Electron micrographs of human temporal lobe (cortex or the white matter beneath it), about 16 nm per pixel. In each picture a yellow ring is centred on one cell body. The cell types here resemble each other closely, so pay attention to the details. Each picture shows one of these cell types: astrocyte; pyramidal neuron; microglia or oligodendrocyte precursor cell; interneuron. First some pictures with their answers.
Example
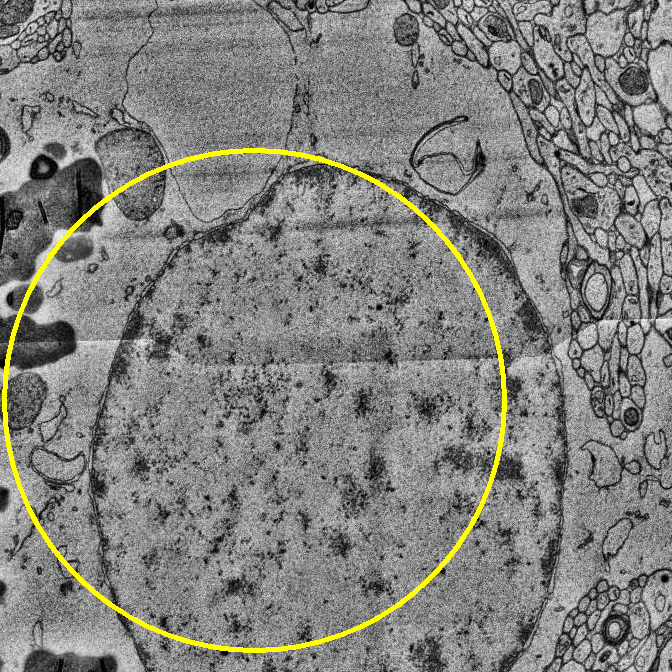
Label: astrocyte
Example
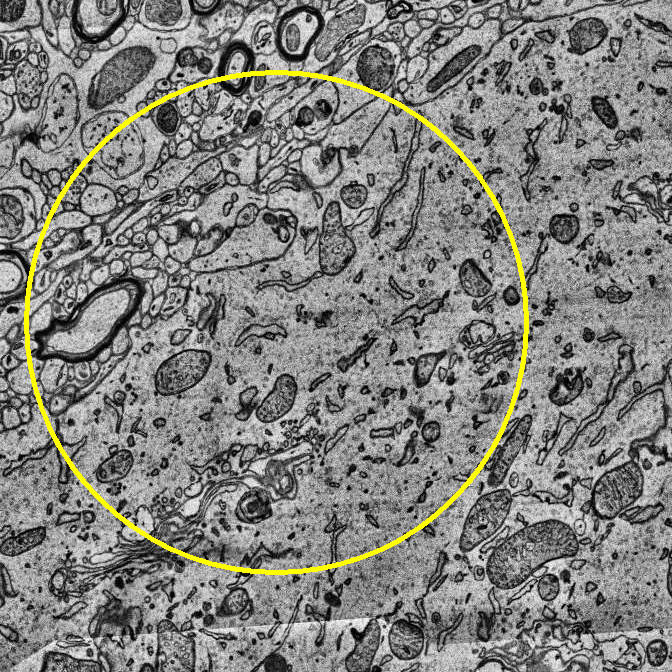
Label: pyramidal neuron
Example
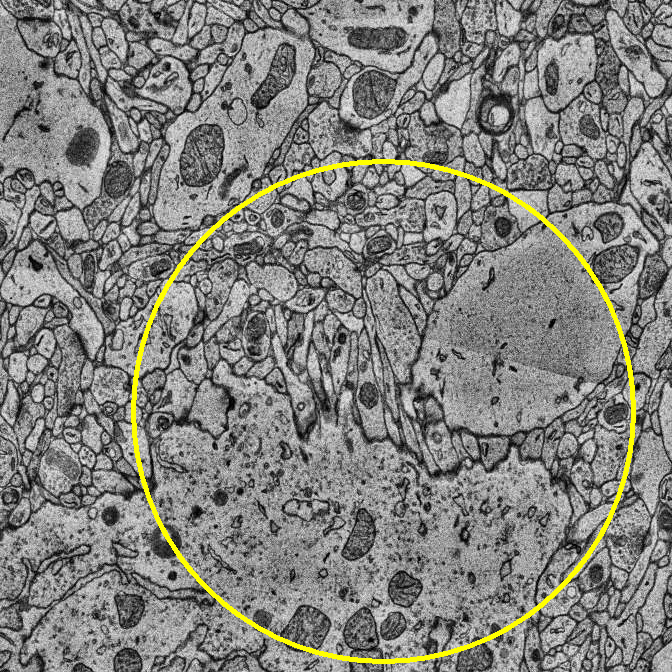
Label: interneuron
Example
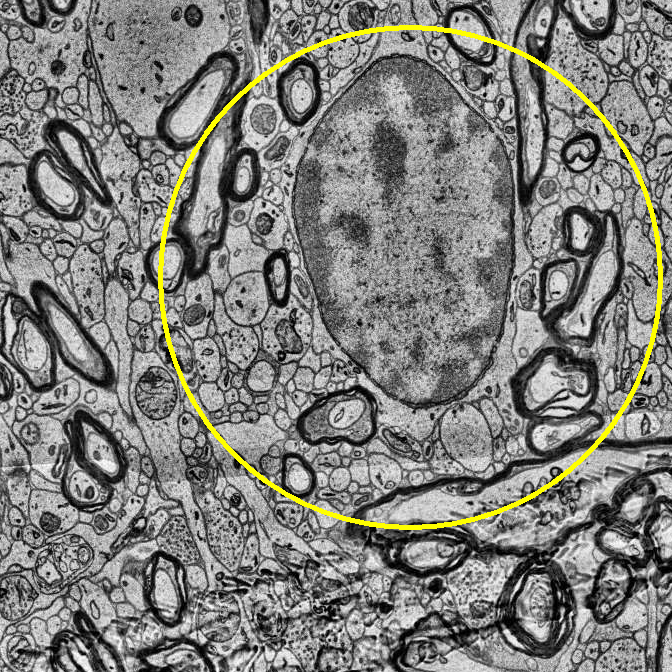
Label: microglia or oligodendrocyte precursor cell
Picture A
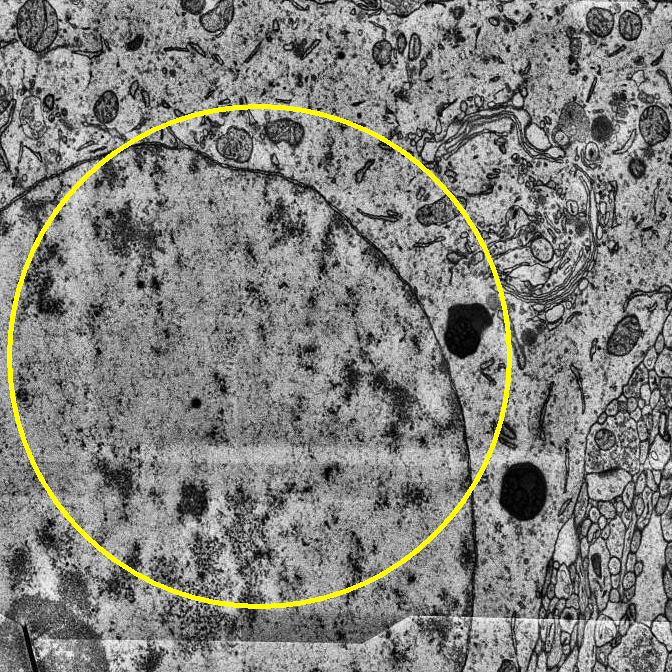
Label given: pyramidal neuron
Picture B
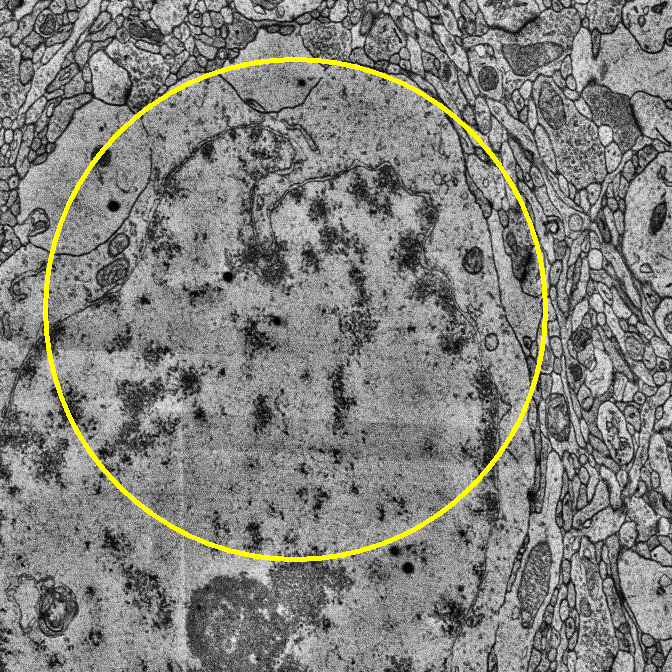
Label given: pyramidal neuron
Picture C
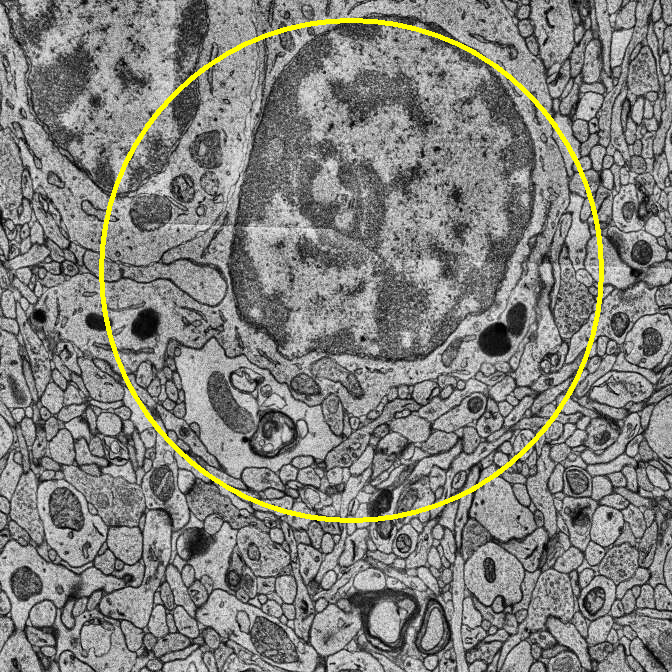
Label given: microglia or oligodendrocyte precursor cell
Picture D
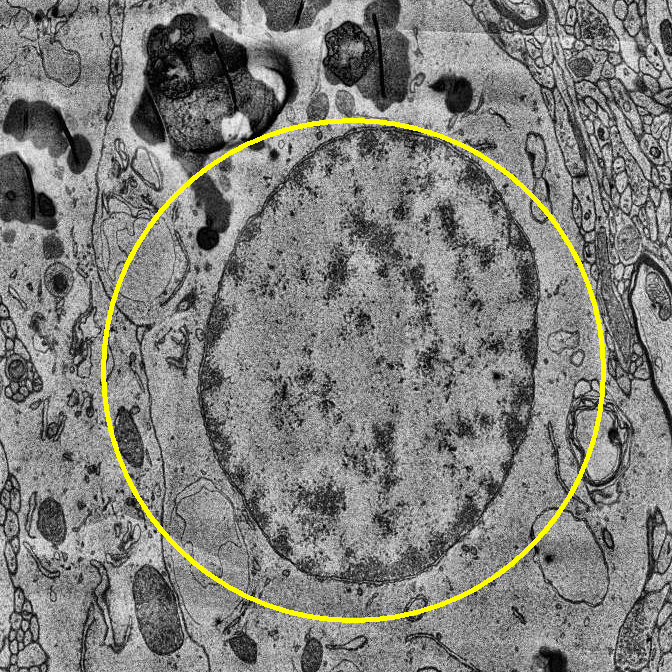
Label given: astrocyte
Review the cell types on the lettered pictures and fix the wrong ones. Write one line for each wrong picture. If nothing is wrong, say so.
B: interneuron, not pyramidal neuron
